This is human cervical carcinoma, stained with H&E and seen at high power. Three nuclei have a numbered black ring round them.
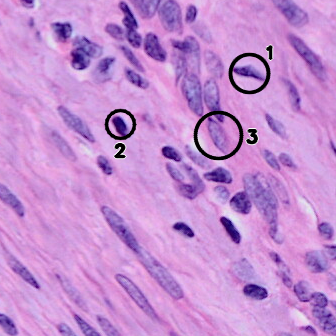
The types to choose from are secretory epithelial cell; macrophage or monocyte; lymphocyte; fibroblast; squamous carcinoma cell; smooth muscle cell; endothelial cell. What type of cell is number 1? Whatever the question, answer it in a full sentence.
The cell bearing label 1 corresponds to a fibroblast.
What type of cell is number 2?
The cell marked with number 2 is a lymphocyte.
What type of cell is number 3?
The correct label for cell 3 is an endothelial cell.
